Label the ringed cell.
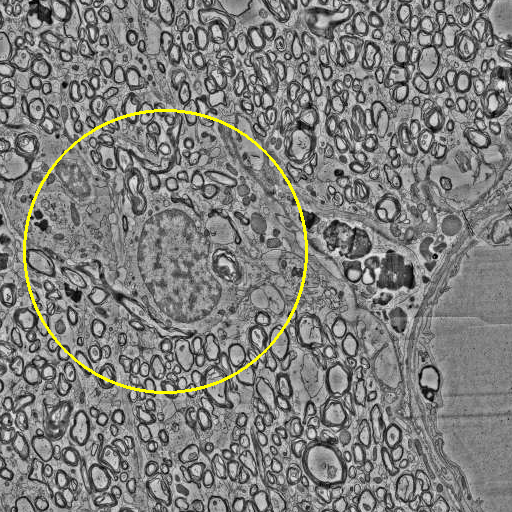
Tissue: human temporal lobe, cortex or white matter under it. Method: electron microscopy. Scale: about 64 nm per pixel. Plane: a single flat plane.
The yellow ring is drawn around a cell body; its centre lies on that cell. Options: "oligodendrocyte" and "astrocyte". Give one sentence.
The ringed cell is an oligodendrocyte.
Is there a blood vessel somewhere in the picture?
Yes, there is a blood vessel in the image.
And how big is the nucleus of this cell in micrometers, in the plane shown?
The ringed cell's nucleus is about 7 micrometres long and 5 micrometres wide in this plane.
